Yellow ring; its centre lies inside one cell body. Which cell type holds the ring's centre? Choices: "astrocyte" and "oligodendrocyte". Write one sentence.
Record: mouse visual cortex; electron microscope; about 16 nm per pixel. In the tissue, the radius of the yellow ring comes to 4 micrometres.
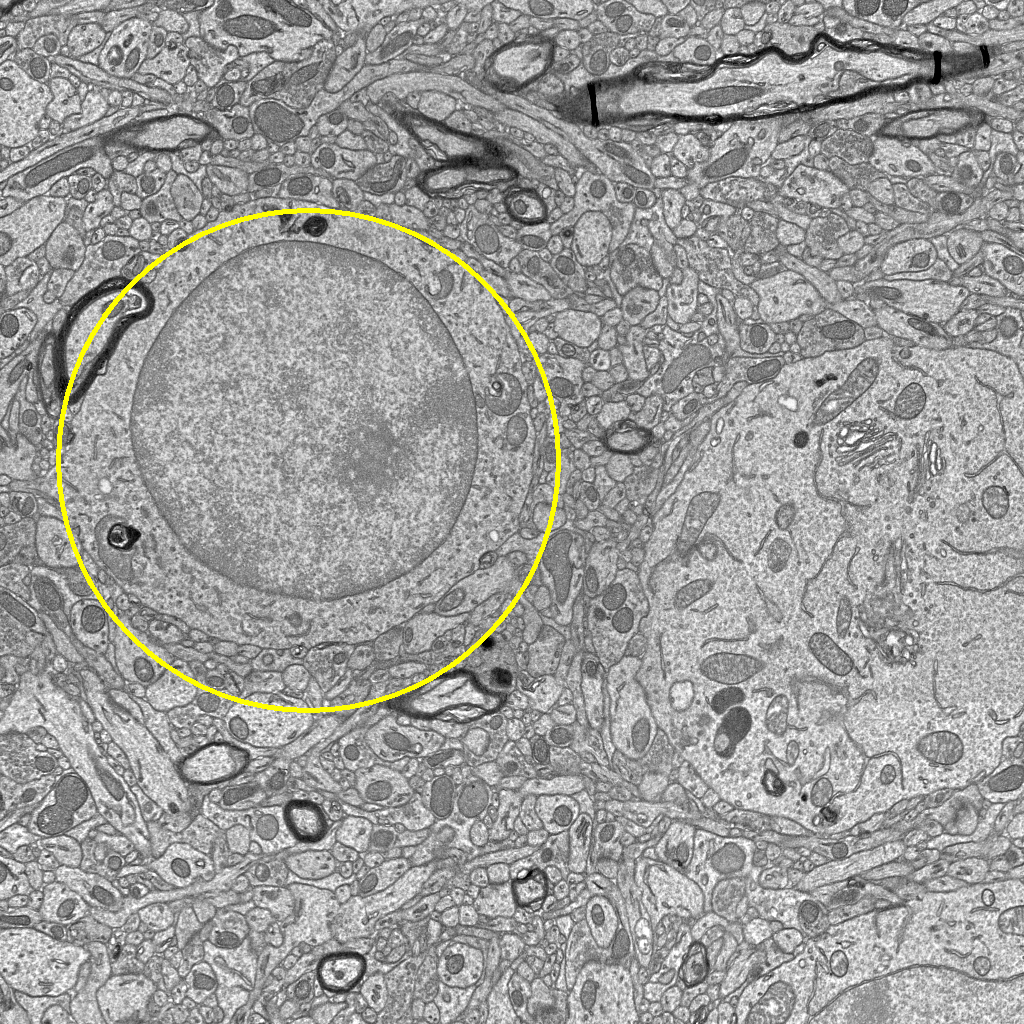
At the centre of the ring sits an oligodendrocyte.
